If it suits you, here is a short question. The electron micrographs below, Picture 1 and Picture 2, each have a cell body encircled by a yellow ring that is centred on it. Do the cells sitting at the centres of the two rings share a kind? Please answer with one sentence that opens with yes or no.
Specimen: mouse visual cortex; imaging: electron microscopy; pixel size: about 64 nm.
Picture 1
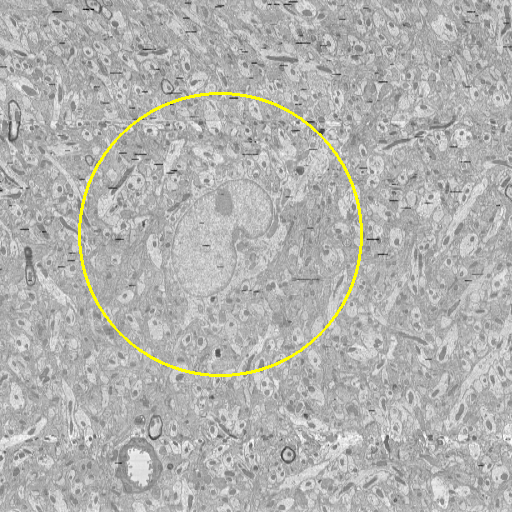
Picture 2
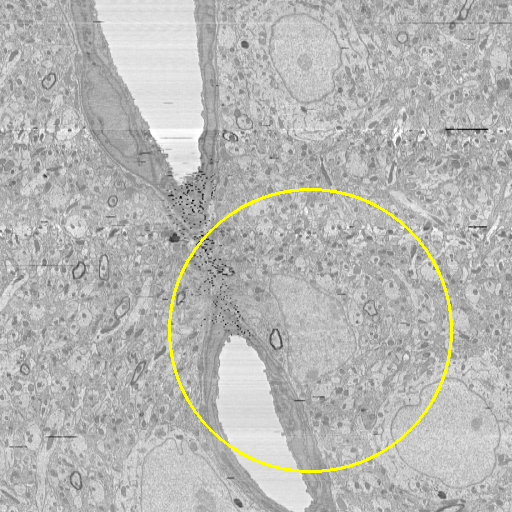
Yes, the two cells sitting at the ring centres share a single kind.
